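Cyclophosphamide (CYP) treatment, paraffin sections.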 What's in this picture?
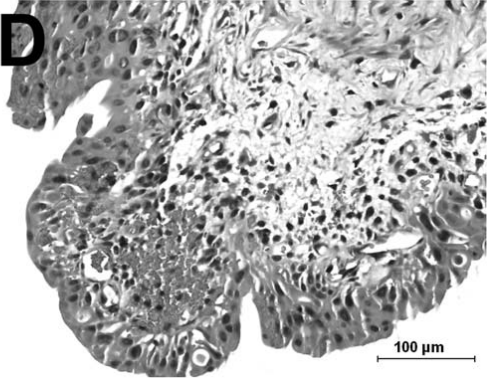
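This is inflamed bladder wall, with a thickened urothelium over connective tissue full of infiltrating cells. The connective tissue beneath is packed with numerous small dark nuclei of infiltrating cells, dense in some patches. Between the cells the tissue looks loose and pale, in keeping with swelling.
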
